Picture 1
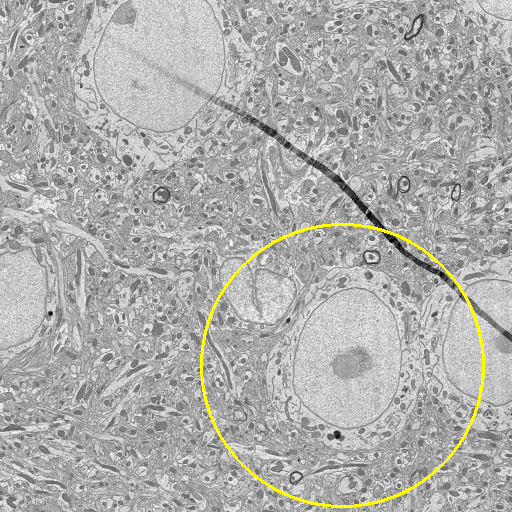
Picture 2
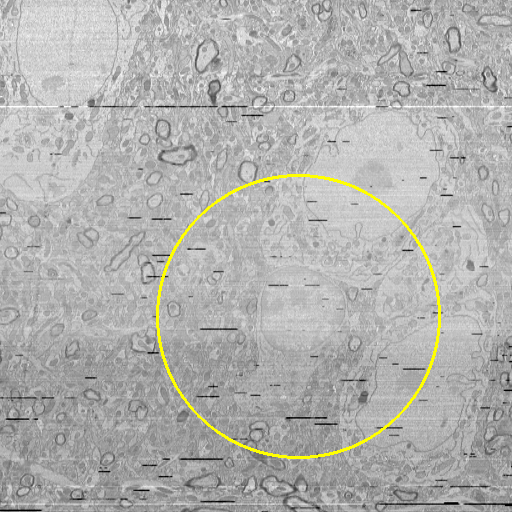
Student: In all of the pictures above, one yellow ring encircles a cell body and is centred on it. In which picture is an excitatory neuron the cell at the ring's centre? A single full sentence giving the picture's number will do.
Picture number 1 has the wanted cell right at the centre of its ring.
